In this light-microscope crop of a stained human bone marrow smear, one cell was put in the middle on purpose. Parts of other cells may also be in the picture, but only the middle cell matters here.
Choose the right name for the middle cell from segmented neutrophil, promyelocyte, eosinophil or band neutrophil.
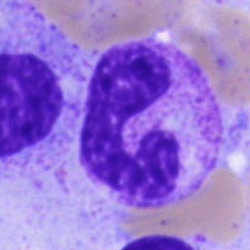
band neutrophil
